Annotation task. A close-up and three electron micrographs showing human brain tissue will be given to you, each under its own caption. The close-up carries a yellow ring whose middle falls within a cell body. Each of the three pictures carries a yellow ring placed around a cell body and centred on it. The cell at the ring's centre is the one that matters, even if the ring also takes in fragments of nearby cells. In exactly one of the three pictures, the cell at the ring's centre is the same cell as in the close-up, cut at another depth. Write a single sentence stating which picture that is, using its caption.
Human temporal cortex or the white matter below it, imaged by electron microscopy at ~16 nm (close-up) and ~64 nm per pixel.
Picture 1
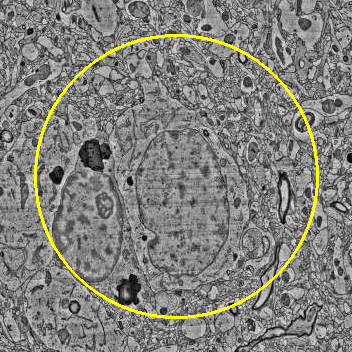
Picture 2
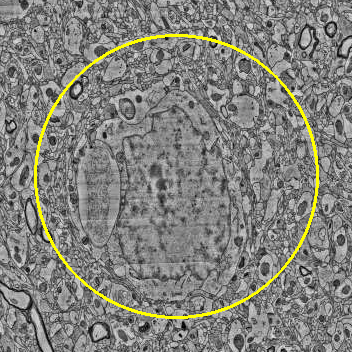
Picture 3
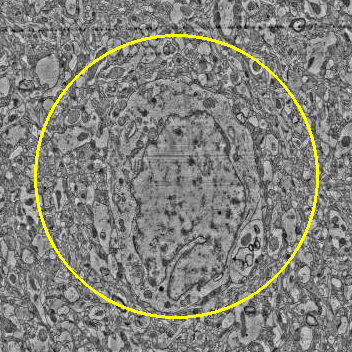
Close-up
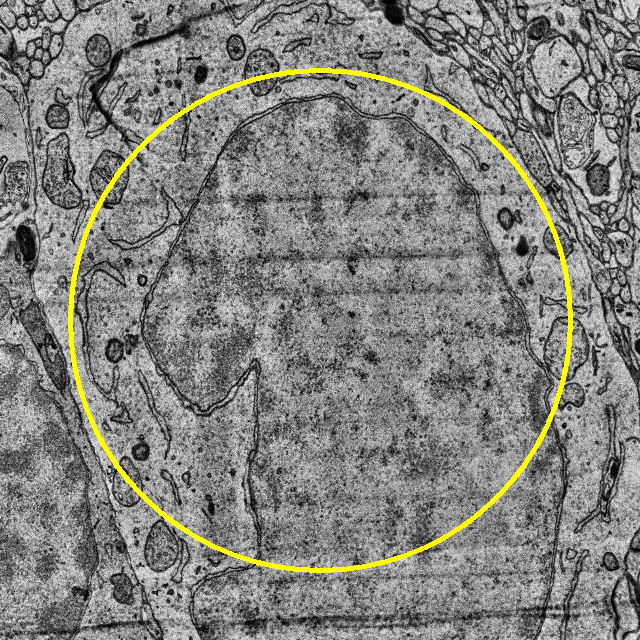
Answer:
The ringed cell in Picture 1 is the subject of the close-up.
